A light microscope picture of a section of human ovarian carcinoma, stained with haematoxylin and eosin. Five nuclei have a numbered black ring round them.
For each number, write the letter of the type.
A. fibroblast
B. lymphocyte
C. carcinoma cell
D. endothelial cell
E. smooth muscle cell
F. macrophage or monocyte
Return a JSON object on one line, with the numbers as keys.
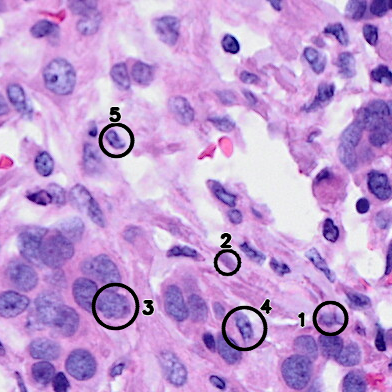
{"1": "A", "2": "A", "3": "C", "4": "A", "5": "B"}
